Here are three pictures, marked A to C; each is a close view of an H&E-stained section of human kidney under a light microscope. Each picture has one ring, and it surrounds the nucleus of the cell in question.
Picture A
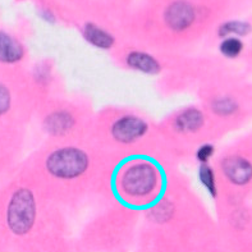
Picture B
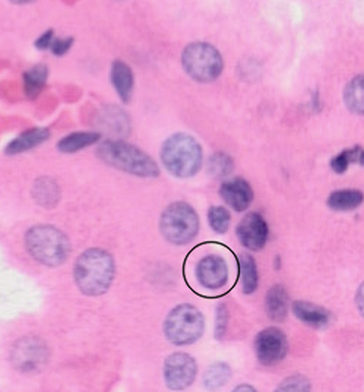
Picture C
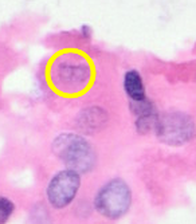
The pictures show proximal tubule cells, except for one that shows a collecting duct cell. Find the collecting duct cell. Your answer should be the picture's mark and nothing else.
B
